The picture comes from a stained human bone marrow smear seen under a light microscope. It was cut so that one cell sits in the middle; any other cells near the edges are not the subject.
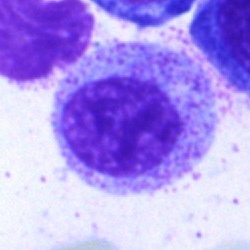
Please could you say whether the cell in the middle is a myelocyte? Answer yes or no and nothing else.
yes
